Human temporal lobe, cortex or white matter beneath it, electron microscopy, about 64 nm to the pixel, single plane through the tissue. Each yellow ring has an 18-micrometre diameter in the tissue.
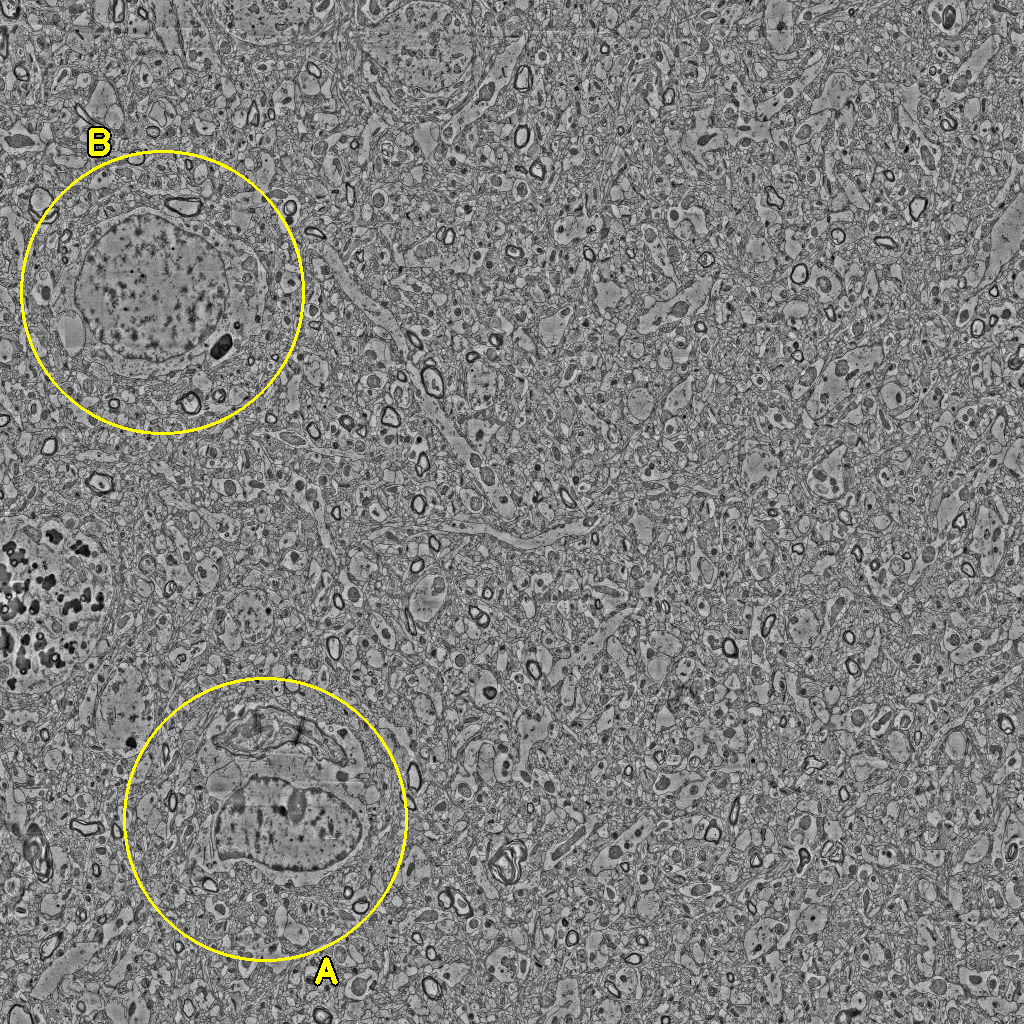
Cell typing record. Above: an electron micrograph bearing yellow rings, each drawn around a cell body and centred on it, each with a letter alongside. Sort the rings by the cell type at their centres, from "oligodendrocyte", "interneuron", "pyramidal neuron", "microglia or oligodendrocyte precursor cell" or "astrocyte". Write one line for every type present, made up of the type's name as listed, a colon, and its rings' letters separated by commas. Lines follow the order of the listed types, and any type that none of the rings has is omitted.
interneuron: B
microglia or oligodendrocyte precursor cell: A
